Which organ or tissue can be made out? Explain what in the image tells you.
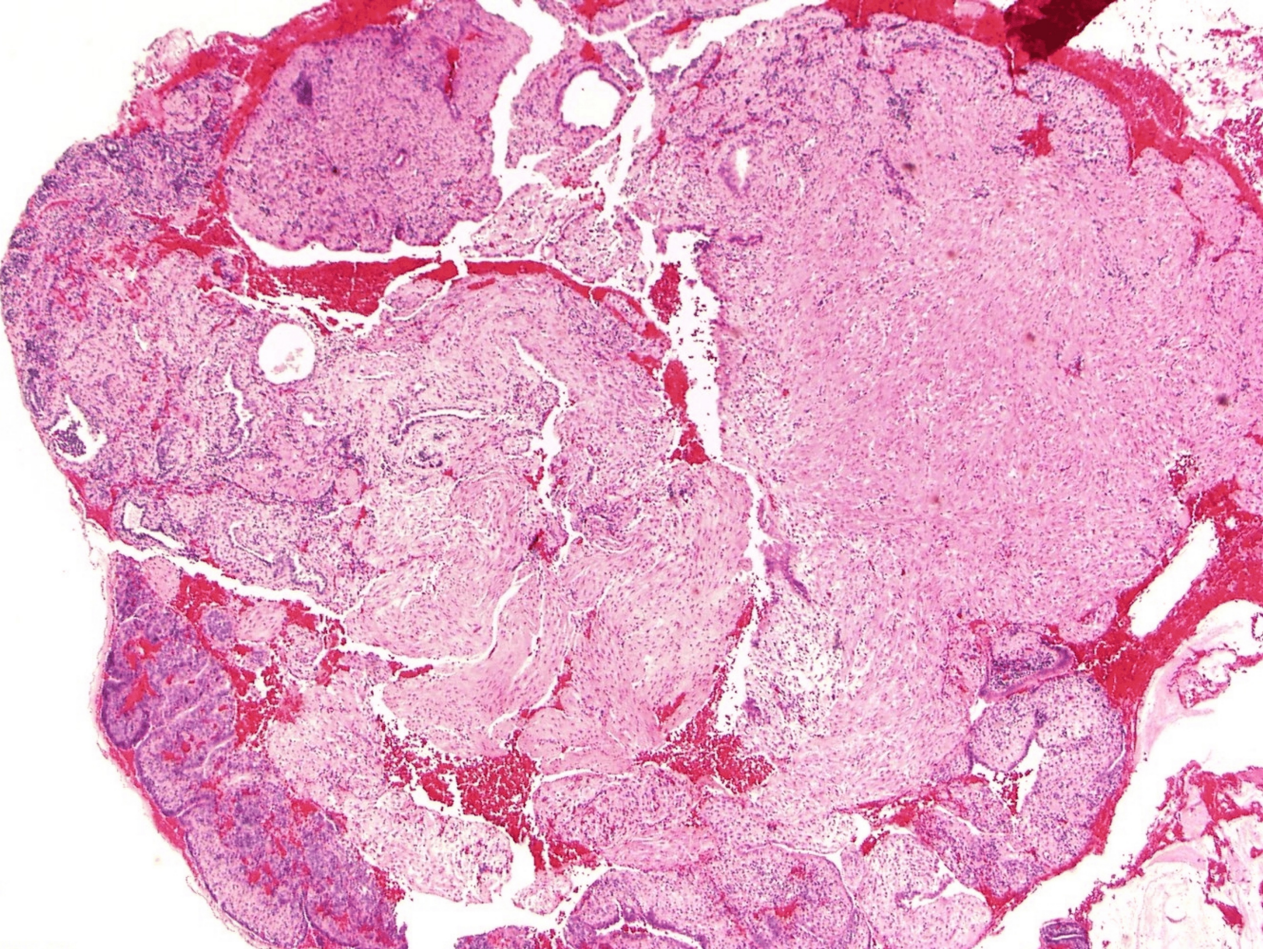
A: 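Several rounded tissue fragments separated by clefts and blood. The fragments are made mostly of pink stroma with scattered small glands. A more cellular purple surface layer borders the fragments at the lower left. So: Polypoid fragments of endometrial tissue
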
